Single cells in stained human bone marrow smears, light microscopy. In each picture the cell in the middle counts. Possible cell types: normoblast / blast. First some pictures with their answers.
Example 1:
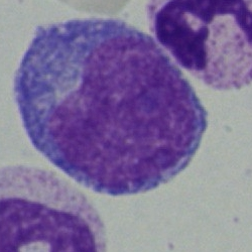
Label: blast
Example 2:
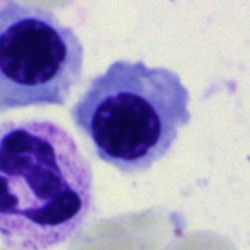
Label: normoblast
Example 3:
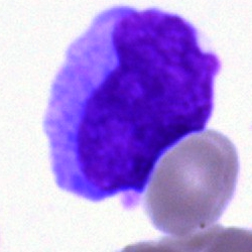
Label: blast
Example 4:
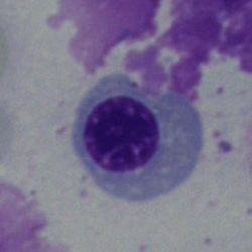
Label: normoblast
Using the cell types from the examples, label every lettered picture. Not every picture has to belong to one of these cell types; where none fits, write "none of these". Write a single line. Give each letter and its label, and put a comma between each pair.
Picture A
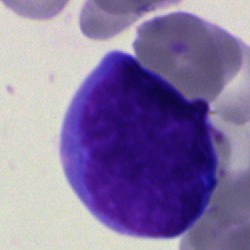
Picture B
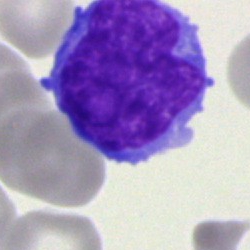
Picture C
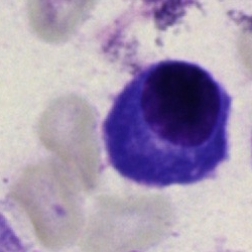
A blast, B blast, C none of these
